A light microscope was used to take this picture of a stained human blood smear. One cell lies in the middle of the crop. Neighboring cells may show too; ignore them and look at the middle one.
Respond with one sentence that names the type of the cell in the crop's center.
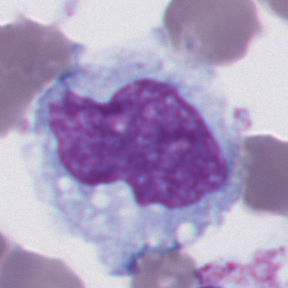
The cell the crop is centered on is a monocyte.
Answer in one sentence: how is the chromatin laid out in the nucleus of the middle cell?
The chromatin is fine throughout, without coarse clumps.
